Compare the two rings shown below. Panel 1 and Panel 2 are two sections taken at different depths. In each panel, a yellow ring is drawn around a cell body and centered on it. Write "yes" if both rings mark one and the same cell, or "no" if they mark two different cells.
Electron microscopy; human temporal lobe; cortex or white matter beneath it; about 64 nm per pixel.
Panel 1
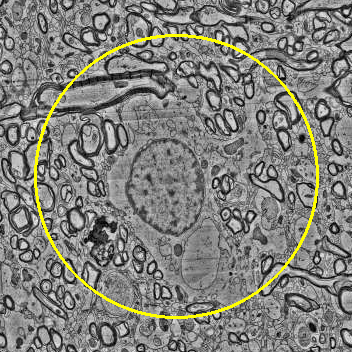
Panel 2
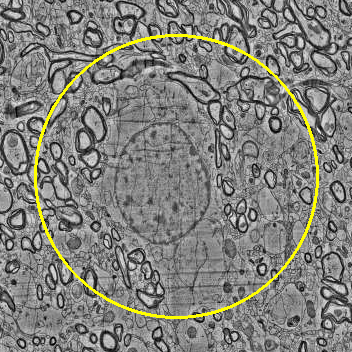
yes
